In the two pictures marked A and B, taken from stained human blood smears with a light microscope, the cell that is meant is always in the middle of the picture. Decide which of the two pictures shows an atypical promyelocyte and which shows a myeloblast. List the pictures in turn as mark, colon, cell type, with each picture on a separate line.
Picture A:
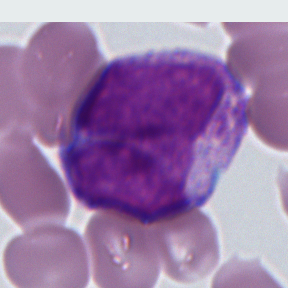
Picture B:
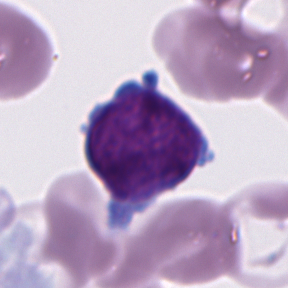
A: atypical promyelocyte
B: myeloblast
